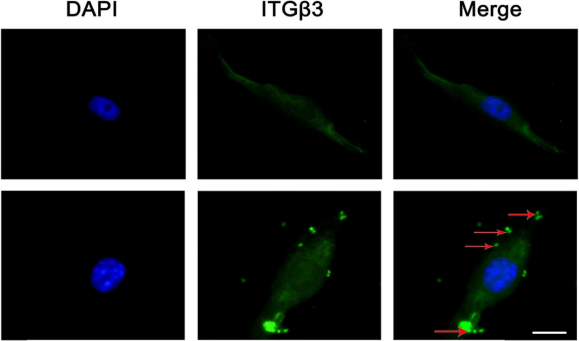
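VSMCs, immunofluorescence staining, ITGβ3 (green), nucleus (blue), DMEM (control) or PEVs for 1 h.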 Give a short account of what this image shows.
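The green stain fills the cytoplasm and outlines the cell's shape. In the upper row the cell is long and spindle-like, tapering into thin ends, and its green stain is faint and even. In the lower row the cell body is broader and its green stain is brighter. Small, dense, bright green dots gather at the cell's edges and ends, and some lie just outside the cell outline; red arrows point to several of these clusters.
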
